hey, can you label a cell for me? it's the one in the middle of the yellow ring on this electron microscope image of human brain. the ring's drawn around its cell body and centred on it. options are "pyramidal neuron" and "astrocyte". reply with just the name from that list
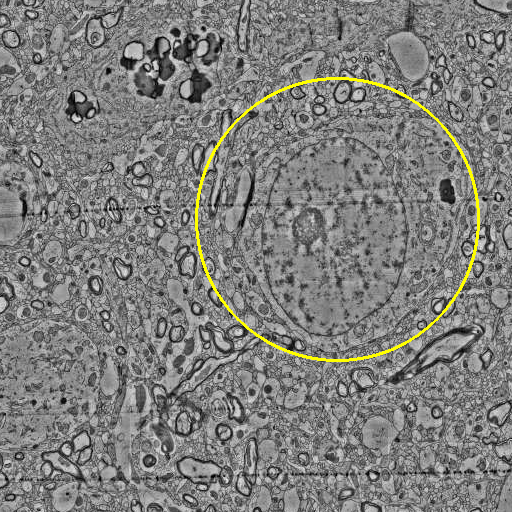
pyramidal neuron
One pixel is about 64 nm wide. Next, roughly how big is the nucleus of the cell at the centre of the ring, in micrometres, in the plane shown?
In this plane, approximately 13 by 10 micrometers.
